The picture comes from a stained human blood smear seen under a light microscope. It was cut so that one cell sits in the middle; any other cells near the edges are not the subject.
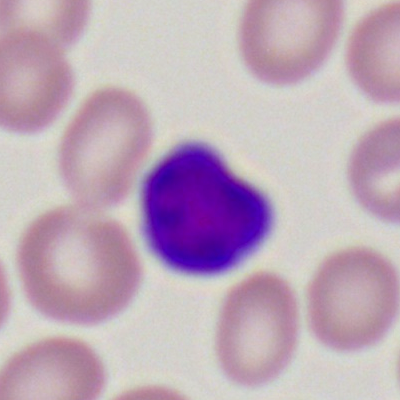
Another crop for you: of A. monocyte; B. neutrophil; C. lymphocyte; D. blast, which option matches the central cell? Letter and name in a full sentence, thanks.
The cell in the middle is a lymphocyte, and so option C is correct.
